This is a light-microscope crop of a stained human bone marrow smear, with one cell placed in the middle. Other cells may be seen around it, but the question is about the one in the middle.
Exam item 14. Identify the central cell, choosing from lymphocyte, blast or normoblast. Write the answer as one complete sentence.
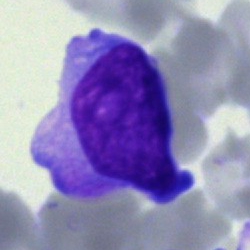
The center cell of this crop is a blast.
